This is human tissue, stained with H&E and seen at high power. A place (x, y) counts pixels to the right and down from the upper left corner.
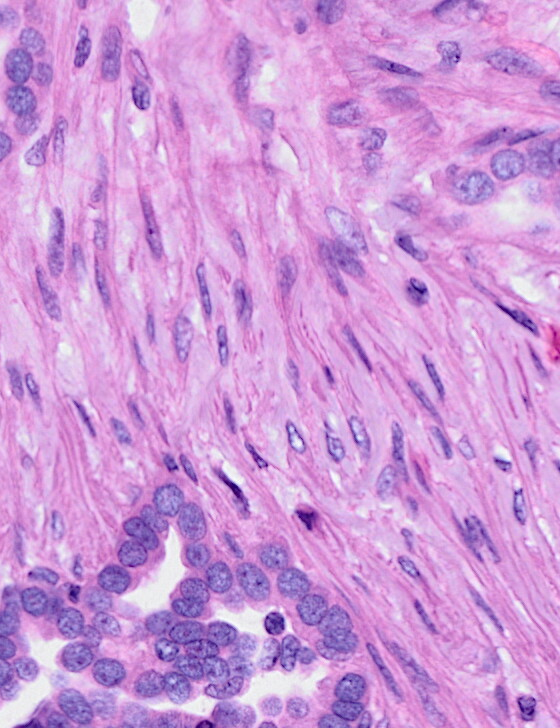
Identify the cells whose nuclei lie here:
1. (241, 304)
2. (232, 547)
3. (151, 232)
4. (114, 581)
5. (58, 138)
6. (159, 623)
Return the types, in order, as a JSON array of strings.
["fibroblast", "fibroblast", "fibroblast", "carcinoma cell", "fibroblast", "carcinoma cell"]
